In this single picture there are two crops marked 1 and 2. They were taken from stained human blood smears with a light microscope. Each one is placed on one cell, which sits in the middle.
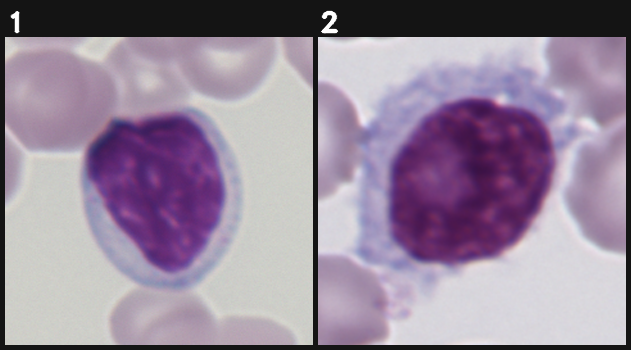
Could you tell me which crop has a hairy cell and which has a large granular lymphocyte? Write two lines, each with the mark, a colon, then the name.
1: large granular lymphocyte
2: hairy cell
